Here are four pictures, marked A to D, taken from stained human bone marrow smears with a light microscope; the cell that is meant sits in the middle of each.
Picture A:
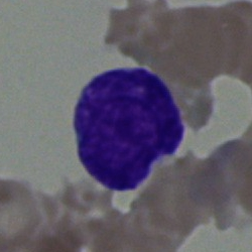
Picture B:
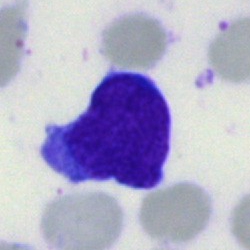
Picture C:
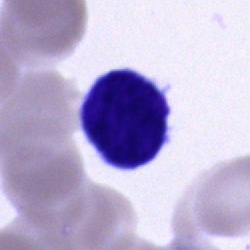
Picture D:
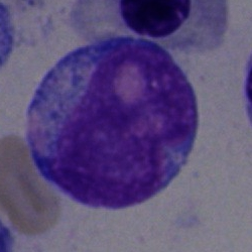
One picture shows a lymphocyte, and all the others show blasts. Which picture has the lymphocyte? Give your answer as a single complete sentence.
The cell in picture C is the lymphocyte.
